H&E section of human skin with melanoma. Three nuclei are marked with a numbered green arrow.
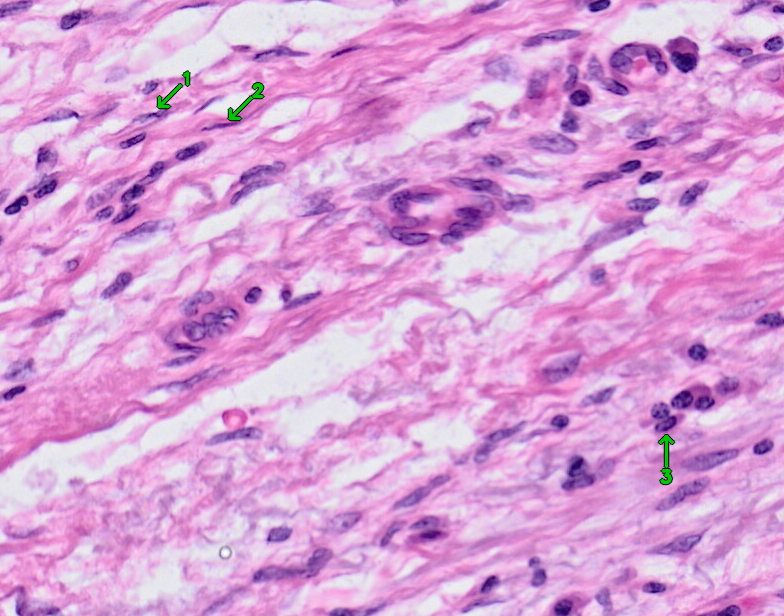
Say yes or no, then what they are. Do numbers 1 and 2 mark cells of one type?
Yes, both are fibroblasts or myofibroblasts.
